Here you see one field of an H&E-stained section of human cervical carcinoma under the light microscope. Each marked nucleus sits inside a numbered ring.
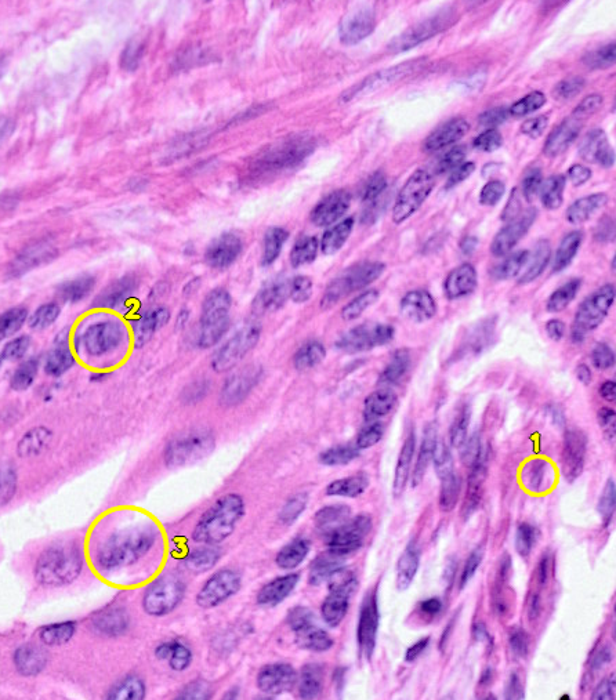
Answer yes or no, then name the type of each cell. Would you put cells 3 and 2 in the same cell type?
Yes, cell 3 is among the squamous carcinoma cells, and cell 2 is as well.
